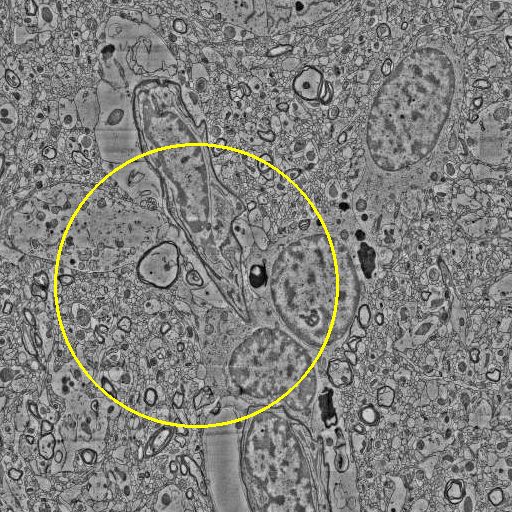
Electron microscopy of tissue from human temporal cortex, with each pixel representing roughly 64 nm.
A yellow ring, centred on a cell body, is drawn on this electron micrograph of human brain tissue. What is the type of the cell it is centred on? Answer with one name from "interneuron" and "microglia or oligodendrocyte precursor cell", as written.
microglia or oligodendrocyte precursor cell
